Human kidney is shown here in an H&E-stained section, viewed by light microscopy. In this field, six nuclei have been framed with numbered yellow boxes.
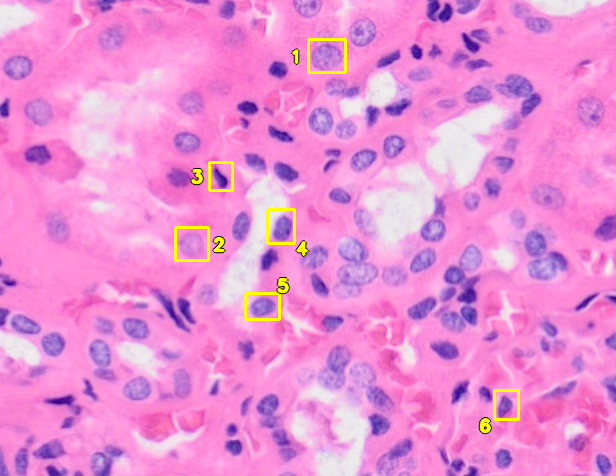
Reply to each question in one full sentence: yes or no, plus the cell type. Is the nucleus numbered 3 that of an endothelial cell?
Yes, the numbered nucleus 3 is that of an endothelial cell.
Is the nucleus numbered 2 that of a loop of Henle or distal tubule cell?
No, as for cell 2, it is a proximal tubule cell and not a loop of Henle or distal tubule cell.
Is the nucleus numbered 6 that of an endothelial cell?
Yes, the cell labelled with number 6 is an endothelial cell.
